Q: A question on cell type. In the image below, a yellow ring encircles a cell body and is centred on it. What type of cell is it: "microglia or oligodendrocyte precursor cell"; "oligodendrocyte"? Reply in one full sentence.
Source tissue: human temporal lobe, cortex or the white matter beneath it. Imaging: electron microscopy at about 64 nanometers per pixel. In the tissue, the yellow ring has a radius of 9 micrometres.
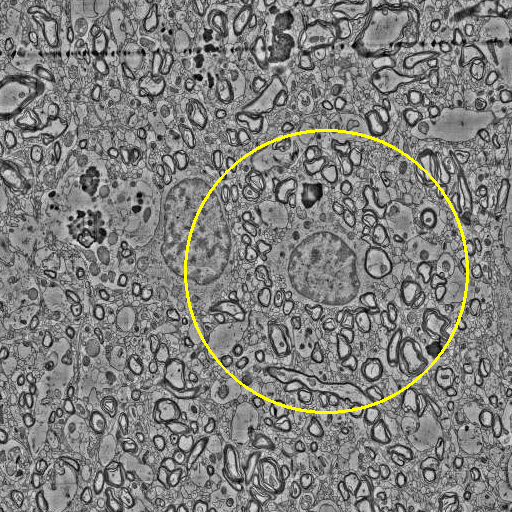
It is an oligodendrocyte whose cell body sits at the centre of the yellow ring in the image.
